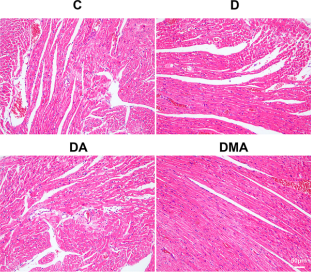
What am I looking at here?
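Myocardium in four views, made of pink-stained muscle fibres running in long parallel and slightly wavy bundles. Small dark purple elongated nuclei are scattered along the fibres. Pale empty clefts separate groups of bundles in several of the views.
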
